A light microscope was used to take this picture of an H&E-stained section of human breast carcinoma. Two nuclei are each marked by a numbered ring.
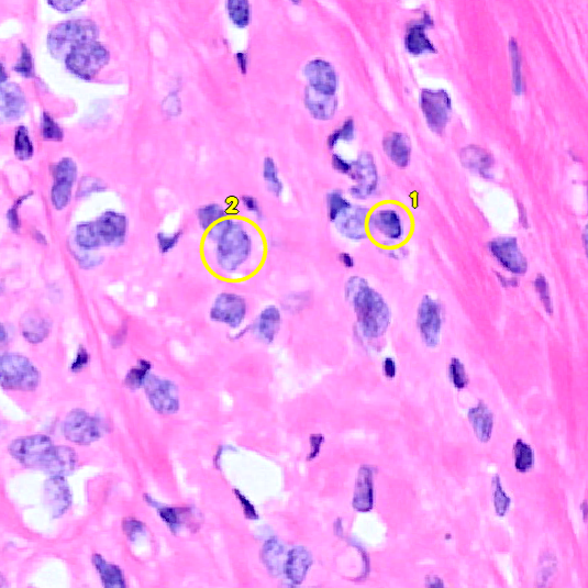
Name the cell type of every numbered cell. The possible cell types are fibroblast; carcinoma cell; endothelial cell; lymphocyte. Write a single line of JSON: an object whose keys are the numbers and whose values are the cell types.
{"1": "lymphocyte", "2": "carcinoma cell"}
